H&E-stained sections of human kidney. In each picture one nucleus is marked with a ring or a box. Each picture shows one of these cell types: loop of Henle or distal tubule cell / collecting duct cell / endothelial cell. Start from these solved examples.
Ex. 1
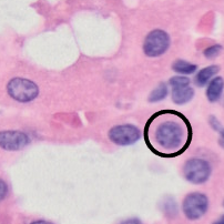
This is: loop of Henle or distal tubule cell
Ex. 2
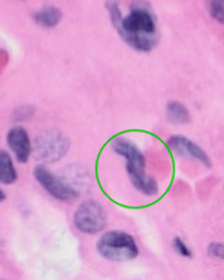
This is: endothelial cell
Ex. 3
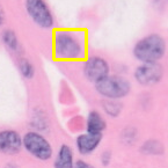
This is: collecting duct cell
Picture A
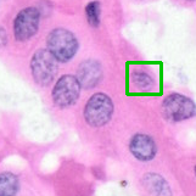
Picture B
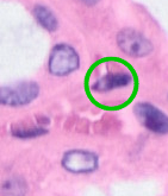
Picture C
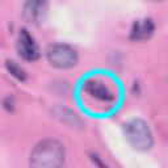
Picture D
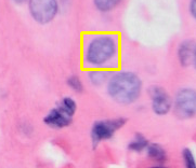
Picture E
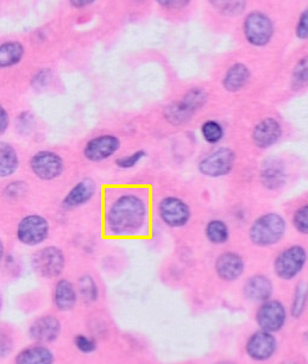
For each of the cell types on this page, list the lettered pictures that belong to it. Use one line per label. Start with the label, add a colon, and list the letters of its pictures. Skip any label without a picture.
loop of Henle or distal tubule cell: A, E
collecting duct cell: C, D
endothelial cell: B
